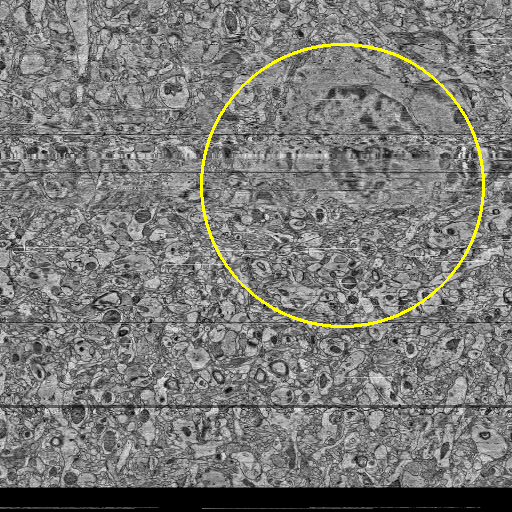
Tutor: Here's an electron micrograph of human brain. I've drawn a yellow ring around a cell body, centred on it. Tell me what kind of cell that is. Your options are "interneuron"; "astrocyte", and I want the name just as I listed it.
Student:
astrocyte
